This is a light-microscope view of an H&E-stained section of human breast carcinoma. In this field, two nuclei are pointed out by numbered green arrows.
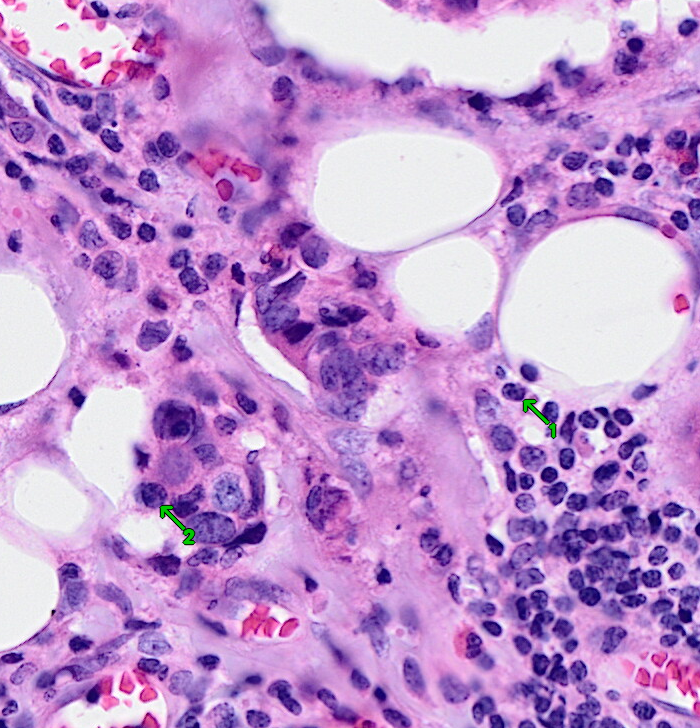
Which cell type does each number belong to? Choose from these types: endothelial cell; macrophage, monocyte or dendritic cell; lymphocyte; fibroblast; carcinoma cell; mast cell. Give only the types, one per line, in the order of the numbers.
lymphocyte
carcinoma cell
